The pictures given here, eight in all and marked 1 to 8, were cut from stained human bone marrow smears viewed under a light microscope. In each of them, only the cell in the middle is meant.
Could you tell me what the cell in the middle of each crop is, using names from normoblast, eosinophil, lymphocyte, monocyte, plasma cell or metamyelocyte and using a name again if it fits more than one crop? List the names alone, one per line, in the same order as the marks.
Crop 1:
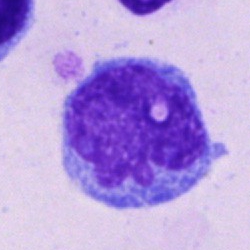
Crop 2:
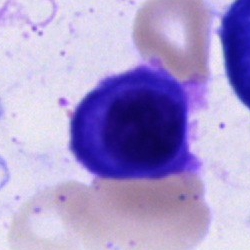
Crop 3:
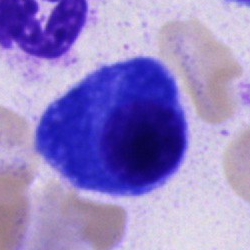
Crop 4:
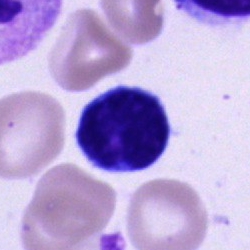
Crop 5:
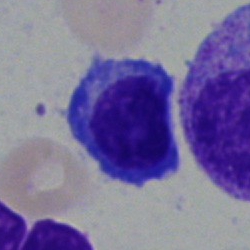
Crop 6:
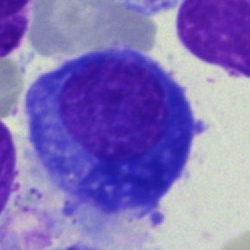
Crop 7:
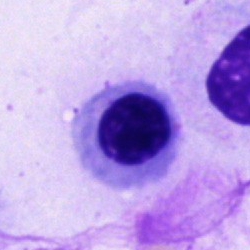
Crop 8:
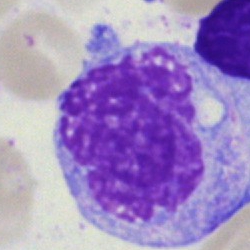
monocyte
plasma cell
plasma cell
lymphocyte
plasma cell
plasma cell
normoblast
monocyte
